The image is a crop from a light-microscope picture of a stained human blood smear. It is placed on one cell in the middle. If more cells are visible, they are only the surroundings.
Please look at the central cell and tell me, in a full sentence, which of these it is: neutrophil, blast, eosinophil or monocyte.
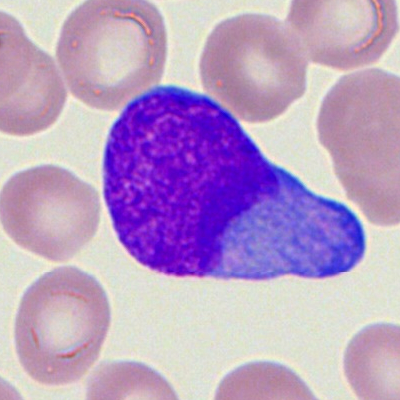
In this crop, the cell at the very middle is a blast.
